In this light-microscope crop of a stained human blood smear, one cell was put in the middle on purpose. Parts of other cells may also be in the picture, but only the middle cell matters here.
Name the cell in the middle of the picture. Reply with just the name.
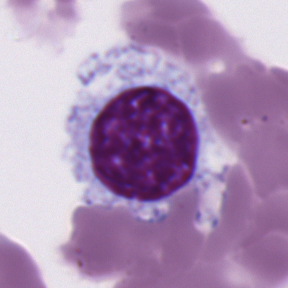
hairy cell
